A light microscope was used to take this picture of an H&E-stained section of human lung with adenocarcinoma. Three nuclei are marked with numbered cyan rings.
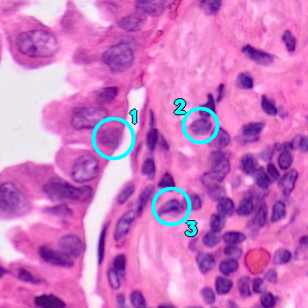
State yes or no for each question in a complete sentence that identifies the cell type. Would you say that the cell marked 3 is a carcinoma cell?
No, the correct answer for cell 3 is a lymphocyte, not a carcinoma cell.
